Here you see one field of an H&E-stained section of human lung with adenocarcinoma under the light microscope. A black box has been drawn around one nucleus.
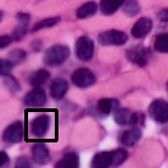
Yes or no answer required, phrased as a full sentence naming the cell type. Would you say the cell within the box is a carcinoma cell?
No, the cell within the box is scored as a lymphocyte and not as a carcinoma cell.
